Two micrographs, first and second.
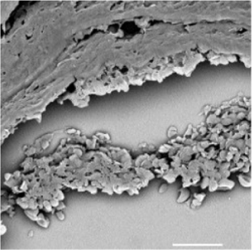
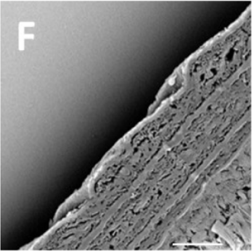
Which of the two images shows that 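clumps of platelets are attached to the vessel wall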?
the first image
